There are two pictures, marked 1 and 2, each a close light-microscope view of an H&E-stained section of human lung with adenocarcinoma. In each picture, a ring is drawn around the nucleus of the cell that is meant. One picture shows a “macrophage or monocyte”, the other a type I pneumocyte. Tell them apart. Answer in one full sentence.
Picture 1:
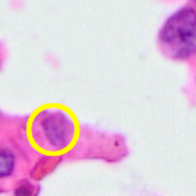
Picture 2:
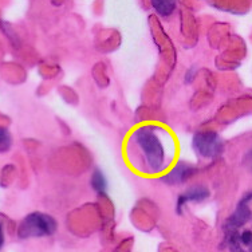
Picture 1 is of a “macrophage or monocyte”, and picture 2 is of a type I pneumocyte.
